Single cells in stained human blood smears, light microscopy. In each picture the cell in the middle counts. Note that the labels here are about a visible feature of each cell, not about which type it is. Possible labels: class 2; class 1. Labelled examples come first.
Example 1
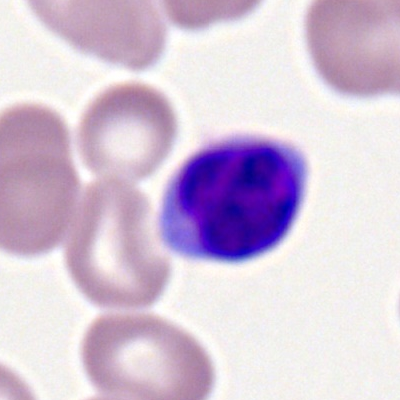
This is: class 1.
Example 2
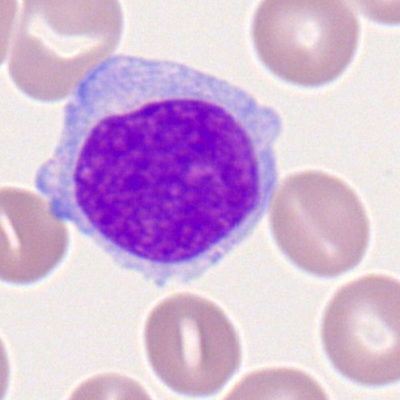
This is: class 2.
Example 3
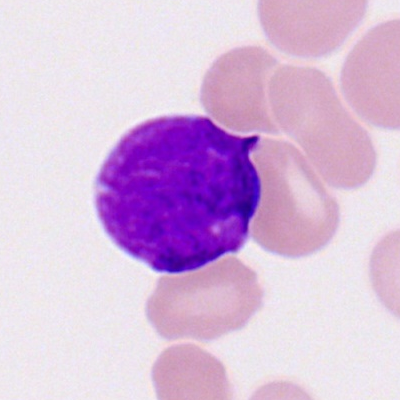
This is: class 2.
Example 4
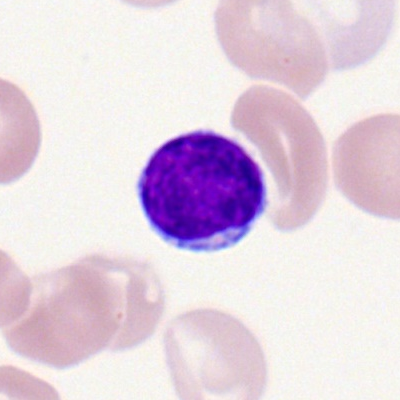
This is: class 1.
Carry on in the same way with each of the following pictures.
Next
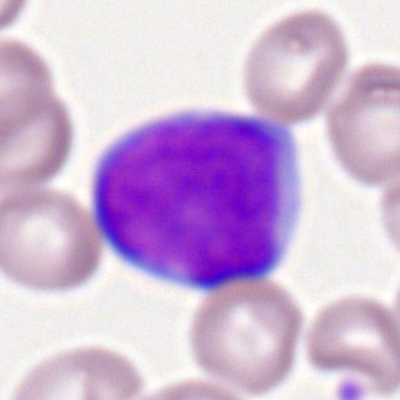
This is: class 1.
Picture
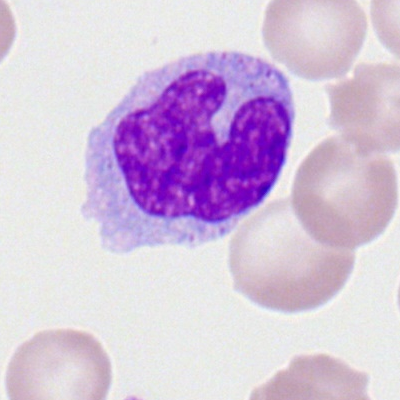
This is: class 2.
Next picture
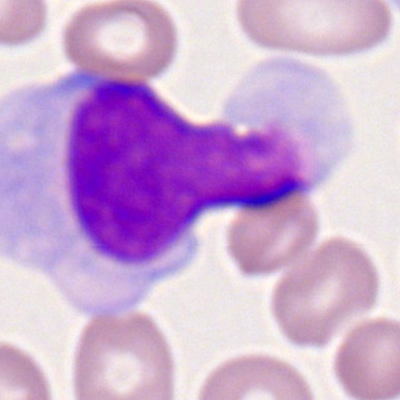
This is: class 2.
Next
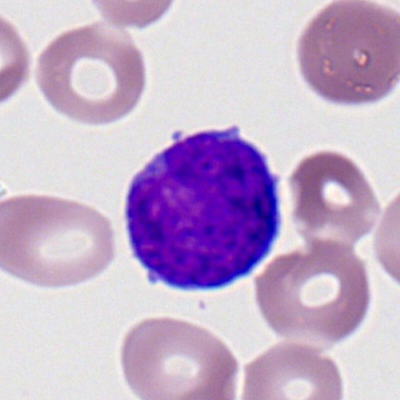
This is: class 2.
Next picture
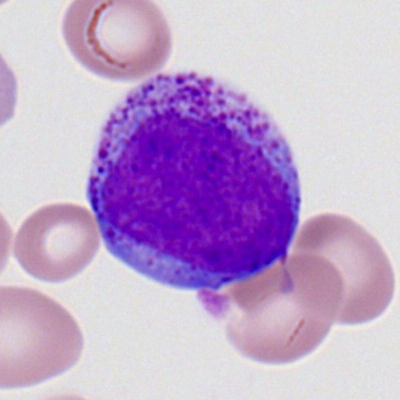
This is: class 1.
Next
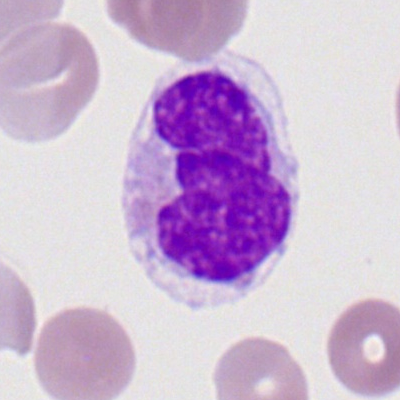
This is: class 1.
